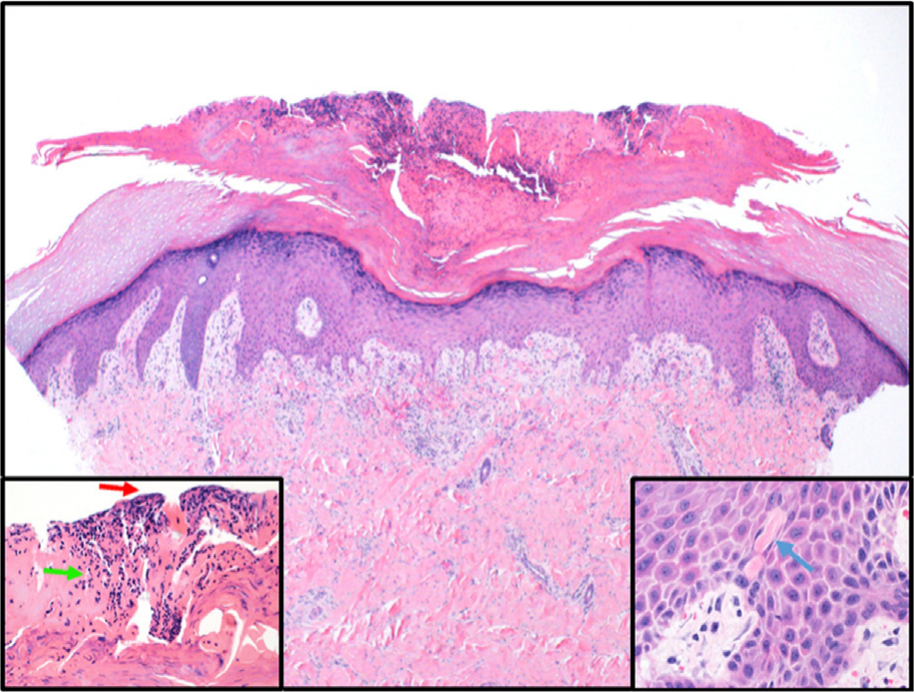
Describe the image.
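Skin with a thickened, acanthotic epidermis. Its rete ridges are elongated and irregular, and they extend into a pink dermis that holds scattered small vessels and sparse inflammatory cells. At the centre the epidermal surface dips in a shallow depression. Above it lies a thick compact pink cornified layer. On top of that sits a crust of pink material packed with many small dark-purple nuclei, and fragmented debris lies at its surface. At high magnification the epidermis is made of polygonal squamous cells with round nuclei and pale pink cytoplasm. A thin pink fibrillar band runs between these cells.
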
